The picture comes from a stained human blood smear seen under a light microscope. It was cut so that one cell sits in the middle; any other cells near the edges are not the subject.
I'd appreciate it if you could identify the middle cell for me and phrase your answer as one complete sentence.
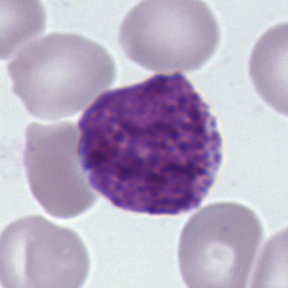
The center cell of this crop is a basophil.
